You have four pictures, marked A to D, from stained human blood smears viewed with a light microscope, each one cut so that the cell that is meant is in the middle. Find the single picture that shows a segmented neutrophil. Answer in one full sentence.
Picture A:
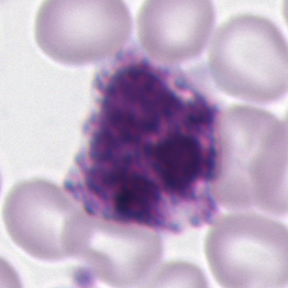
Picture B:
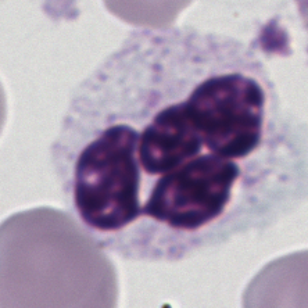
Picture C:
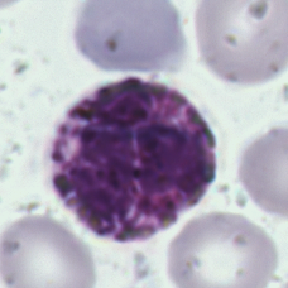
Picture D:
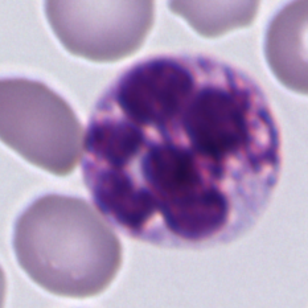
Picture B shows the segmented neutrophil.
